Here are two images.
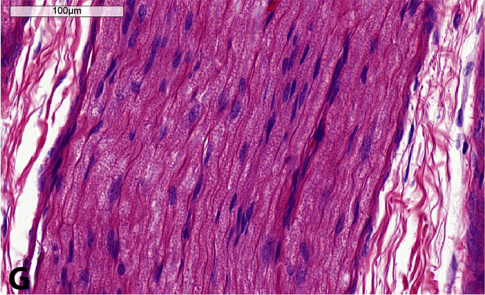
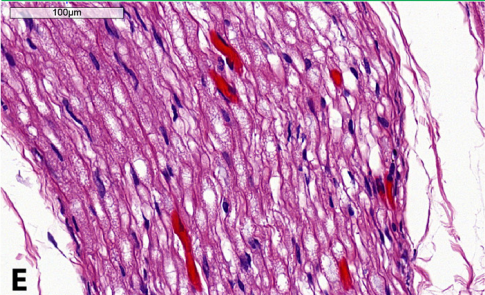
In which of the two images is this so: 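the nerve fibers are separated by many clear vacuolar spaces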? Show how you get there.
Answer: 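First image: fibers are tightly packed with few clear spaces. Second image: numerous round clear spaces lie among loosely arranged fibers.
Hence: the second image.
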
